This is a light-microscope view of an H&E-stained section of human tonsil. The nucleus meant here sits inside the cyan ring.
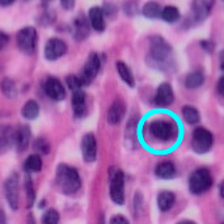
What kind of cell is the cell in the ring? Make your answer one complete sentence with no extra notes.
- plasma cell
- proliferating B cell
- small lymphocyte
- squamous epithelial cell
As far as its identity is concerned, the cell in the ring is a plasma cell.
